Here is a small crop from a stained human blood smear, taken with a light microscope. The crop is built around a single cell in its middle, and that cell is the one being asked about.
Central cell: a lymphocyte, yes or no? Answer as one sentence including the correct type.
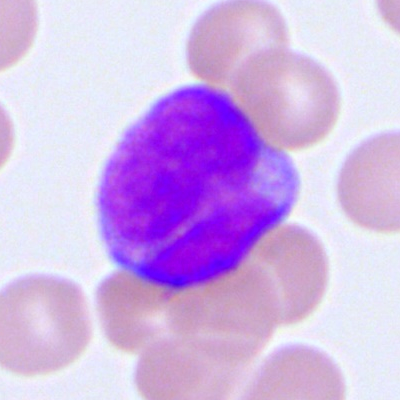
No, the cell in the middle is categorised as a myeloblast, not a lymphocyte.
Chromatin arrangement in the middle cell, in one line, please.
The chromatin is fine, with no coarse clumping anywhere.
